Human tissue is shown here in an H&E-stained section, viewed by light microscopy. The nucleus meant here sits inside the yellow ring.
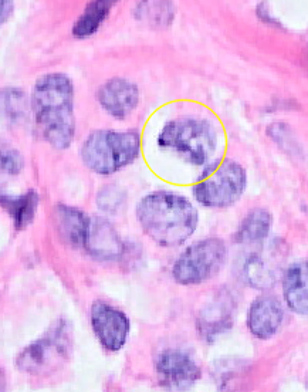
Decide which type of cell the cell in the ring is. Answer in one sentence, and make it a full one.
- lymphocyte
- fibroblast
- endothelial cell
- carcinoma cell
Just put down that the cell in the ring is a carcinoma cell.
